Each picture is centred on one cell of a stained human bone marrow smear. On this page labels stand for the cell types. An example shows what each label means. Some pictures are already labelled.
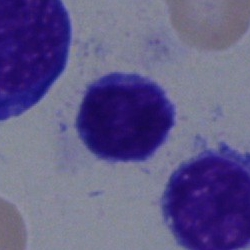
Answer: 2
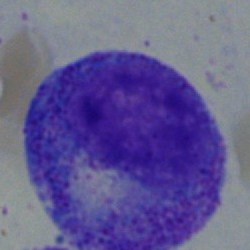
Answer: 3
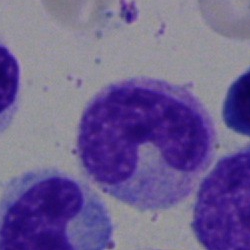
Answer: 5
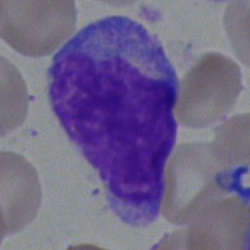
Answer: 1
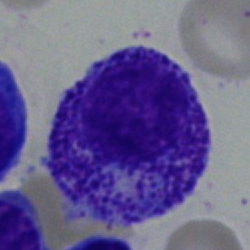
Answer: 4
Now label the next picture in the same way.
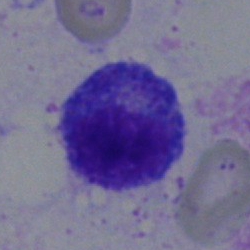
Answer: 3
